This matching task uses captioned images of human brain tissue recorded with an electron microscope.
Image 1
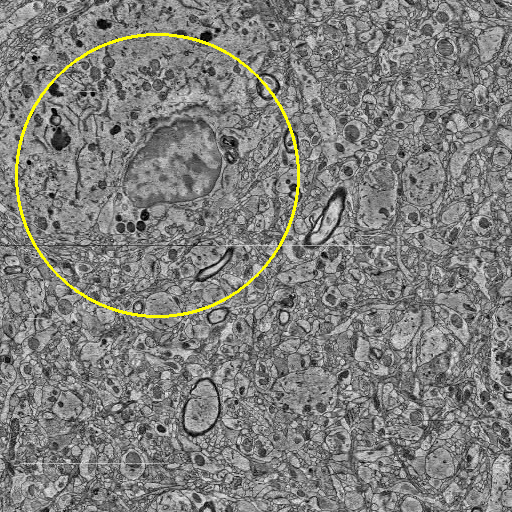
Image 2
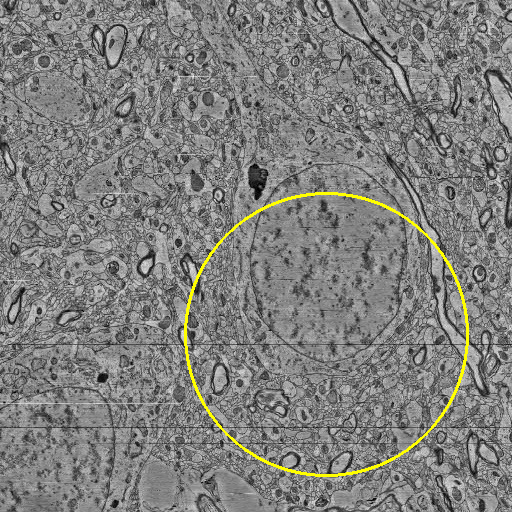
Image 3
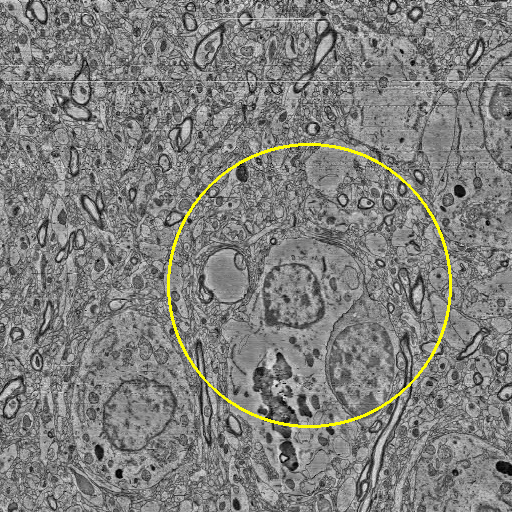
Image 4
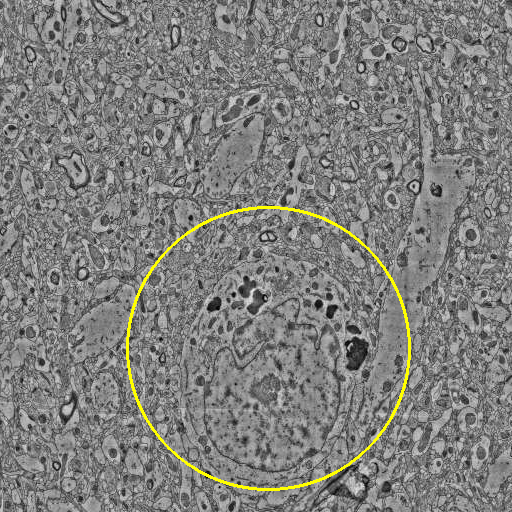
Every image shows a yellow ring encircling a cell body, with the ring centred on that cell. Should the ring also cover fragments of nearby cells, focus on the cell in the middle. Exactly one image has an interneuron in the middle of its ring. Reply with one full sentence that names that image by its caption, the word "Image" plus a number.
Image 4 shows the cell in question at the centre of its yellow ring.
